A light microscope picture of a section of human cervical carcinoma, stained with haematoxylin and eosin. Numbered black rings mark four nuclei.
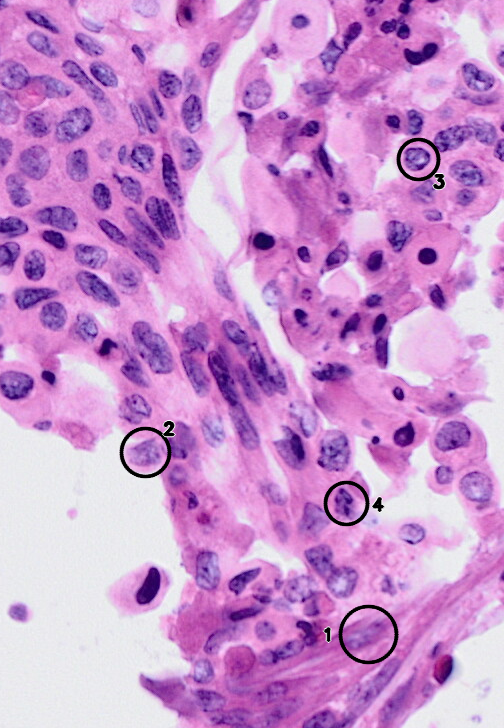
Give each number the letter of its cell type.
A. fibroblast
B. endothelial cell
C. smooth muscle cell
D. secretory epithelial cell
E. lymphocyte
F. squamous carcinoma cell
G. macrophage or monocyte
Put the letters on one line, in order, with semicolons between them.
A; F; F; F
